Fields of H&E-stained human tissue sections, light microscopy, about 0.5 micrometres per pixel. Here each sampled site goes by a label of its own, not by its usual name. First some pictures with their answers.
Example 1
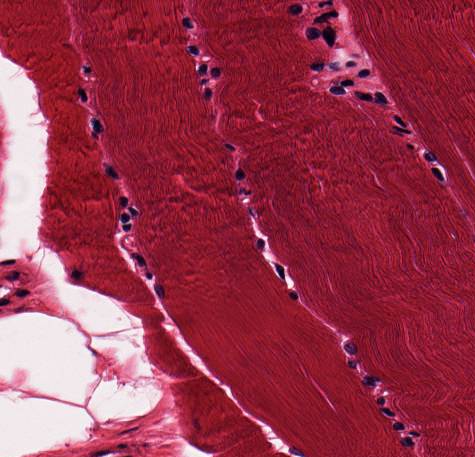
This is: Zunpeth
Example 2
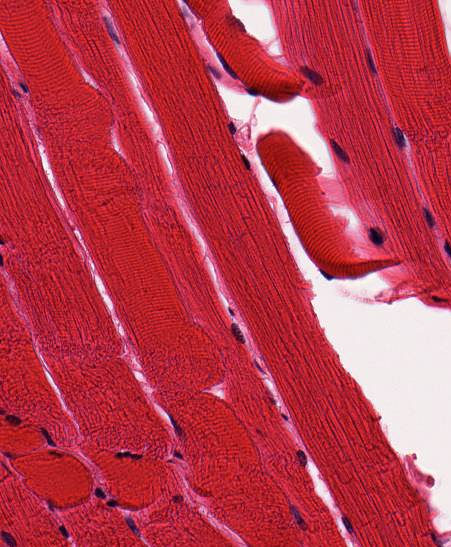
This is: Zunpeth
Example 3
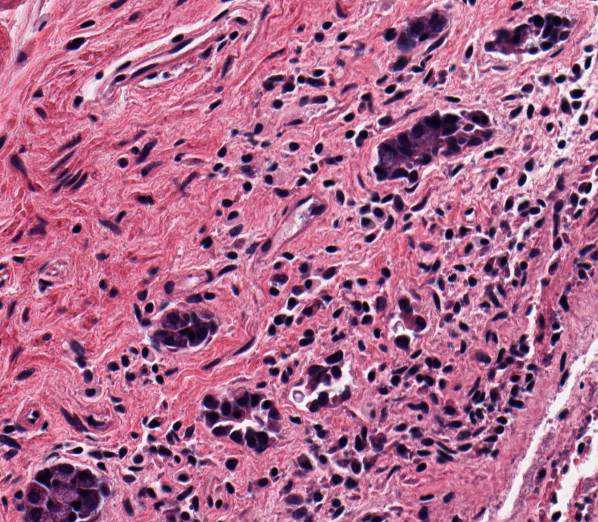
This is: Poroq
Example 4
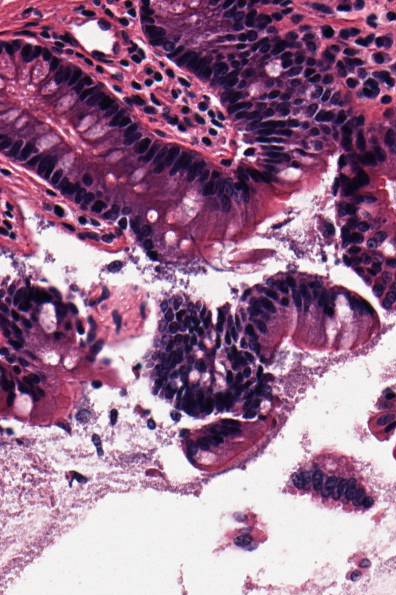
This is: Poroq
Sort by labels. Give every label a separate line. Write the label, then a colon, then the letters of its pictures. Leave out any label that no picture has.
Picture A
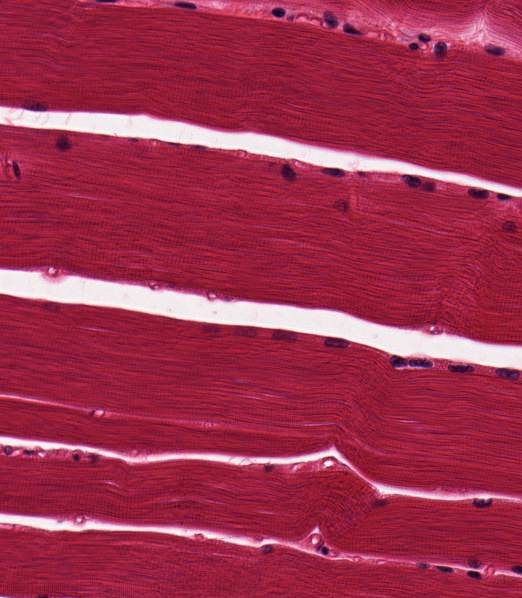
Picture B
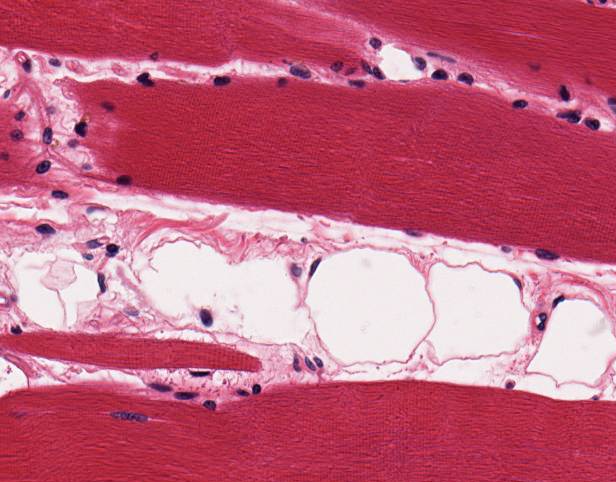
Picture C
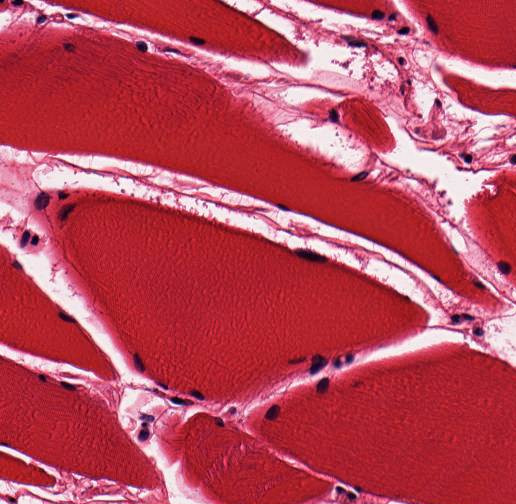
Zunpeth: A, B, C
